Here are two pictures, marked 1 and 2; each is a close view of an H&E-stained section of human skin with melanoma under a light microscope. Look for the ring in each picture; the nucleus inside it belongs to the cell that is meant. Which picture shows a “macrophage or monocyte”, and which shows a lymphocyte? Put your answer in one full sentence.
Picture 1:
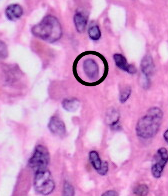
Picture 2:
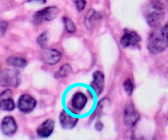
Picture 1 shows a “macrophage or monocyte” and picture 2 shows a lymphocyte.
